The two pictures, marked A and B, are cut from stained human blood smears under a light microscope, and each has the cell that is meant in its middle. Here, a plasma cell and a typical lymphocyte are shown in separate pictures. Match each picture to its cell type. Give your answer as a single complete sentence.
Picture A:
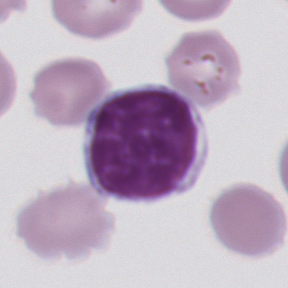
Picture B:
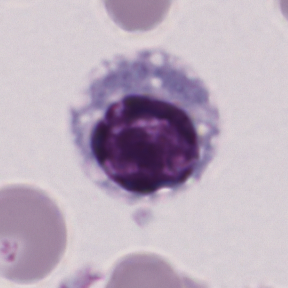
The cell in picture A is a typical lymphocyte, and the one in picture B is a plasma cell.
